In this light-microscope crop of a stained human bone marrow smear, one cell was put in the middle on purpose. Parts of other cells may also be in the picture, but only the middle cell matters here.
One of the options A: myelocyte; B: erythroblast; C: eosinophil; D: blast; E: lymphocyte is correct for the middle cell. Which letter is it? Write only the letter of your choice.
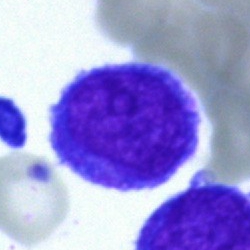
D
